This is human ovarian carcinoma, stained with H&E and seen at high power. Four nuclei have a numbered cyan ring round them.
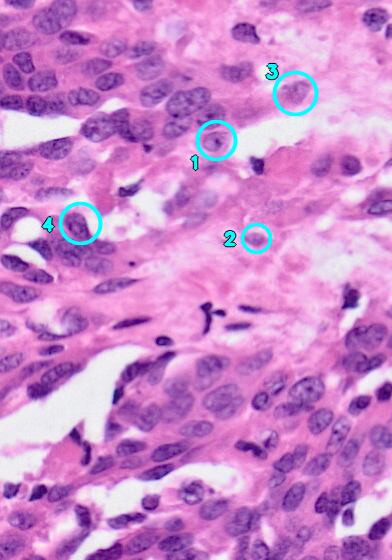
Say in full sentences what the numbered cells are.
Cell 1 is a macrophage or monocyte. Cells 2 and 3 are fibroblasts. Cell 4 is a carcinoma cell.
